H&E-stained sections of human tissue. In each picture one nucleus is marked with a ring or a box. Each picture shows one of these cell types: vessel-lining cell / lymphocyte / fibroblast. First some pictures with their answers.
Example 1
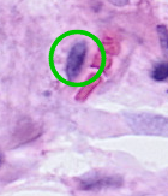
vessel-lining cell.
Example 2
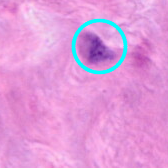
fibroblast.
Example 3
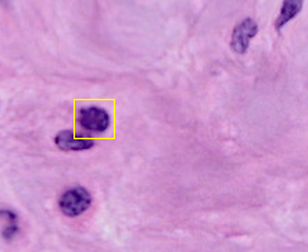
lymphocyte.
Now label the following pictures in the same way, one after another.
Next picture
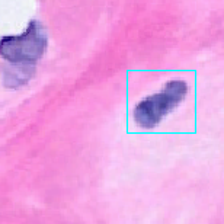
lymphocyte.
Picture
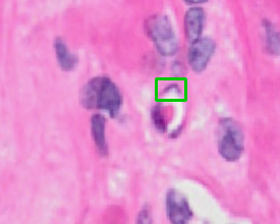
vessel-lining cell.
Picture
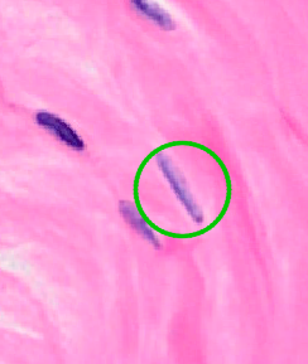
fibroblast.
